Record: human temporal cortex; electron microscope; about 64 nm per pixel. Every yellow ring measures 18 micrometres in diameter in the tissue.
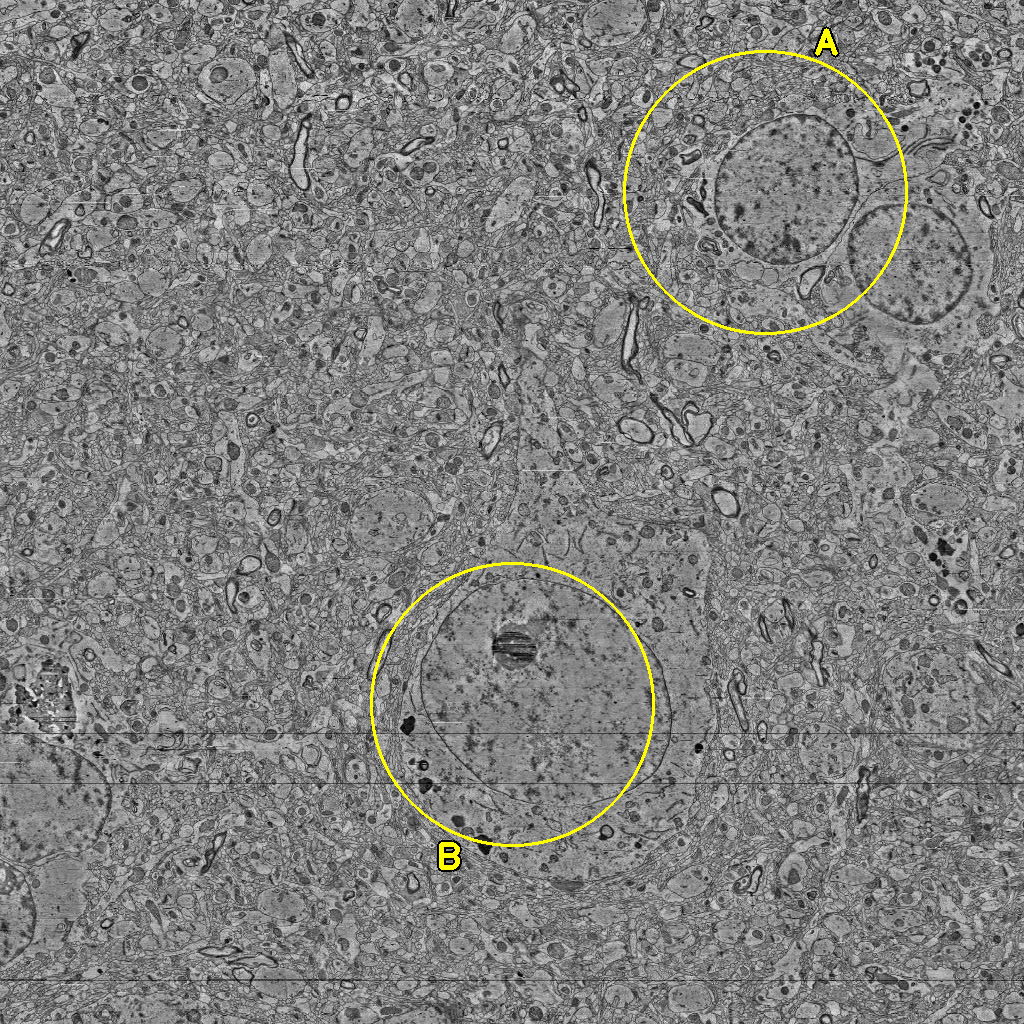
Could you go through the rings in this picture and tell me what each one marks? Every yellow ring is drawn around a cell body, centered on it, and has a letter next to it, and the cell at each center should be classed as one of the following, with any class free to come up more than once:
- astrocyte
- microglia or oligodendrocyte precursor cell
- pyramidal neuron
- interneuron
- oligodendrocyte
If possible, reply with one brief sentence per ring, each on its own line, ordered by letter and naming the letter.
The cell centered in ring A is an astrocyte.
The cell centered in ring B is a pyramidal neuron.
